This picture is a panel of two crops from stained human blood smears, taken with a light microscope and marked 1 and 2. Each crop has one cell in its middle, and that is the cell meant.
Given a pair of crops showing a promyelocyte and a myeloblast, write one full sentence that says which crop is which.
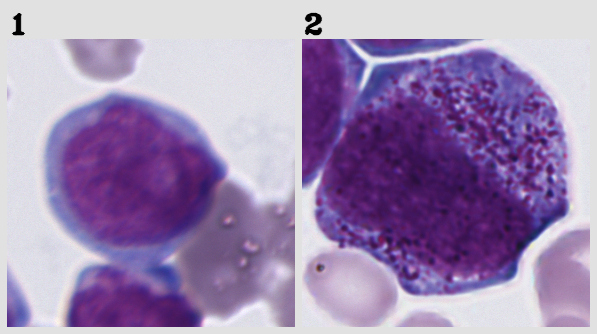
Crop 1 is a myeloblast, and, separately, crop 2 is a promyelocyte.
